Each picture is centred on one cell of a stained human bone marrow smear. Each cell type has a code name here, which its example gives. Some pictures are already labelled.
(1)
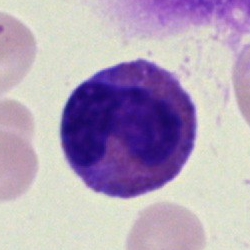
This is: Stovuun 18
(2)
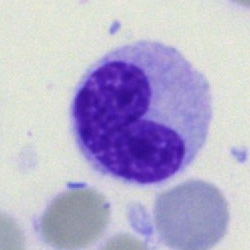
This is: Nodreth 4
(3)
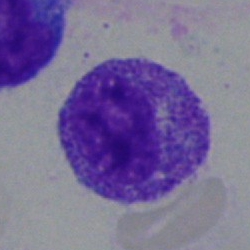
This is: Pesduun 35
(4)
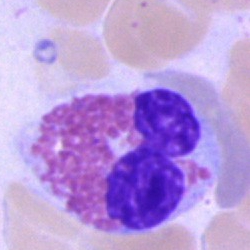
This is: Stovuun 18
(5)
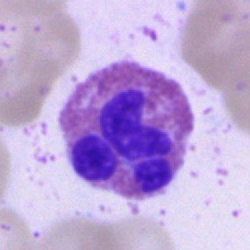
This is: Stovuun 18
